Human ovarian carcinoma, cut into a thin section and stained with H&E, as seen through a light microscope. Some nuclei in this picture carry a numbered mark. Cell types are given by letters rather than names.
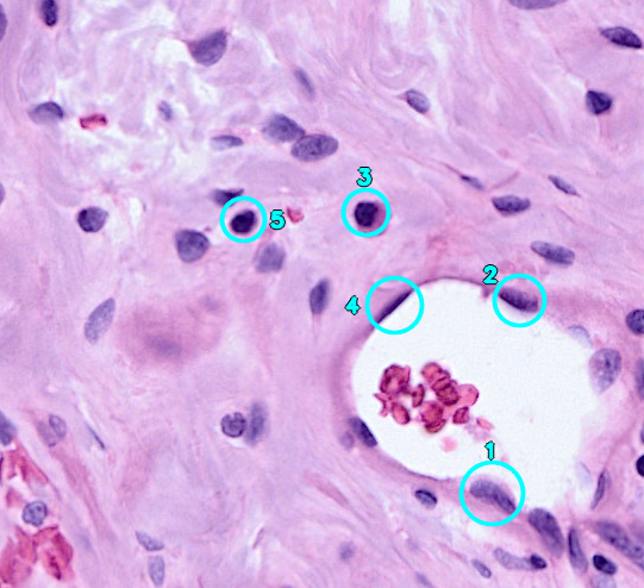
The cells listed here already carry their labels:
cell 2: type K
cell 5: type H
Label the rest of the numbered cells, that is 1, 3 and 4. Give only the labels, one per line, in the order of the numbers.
type K
type H
type K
